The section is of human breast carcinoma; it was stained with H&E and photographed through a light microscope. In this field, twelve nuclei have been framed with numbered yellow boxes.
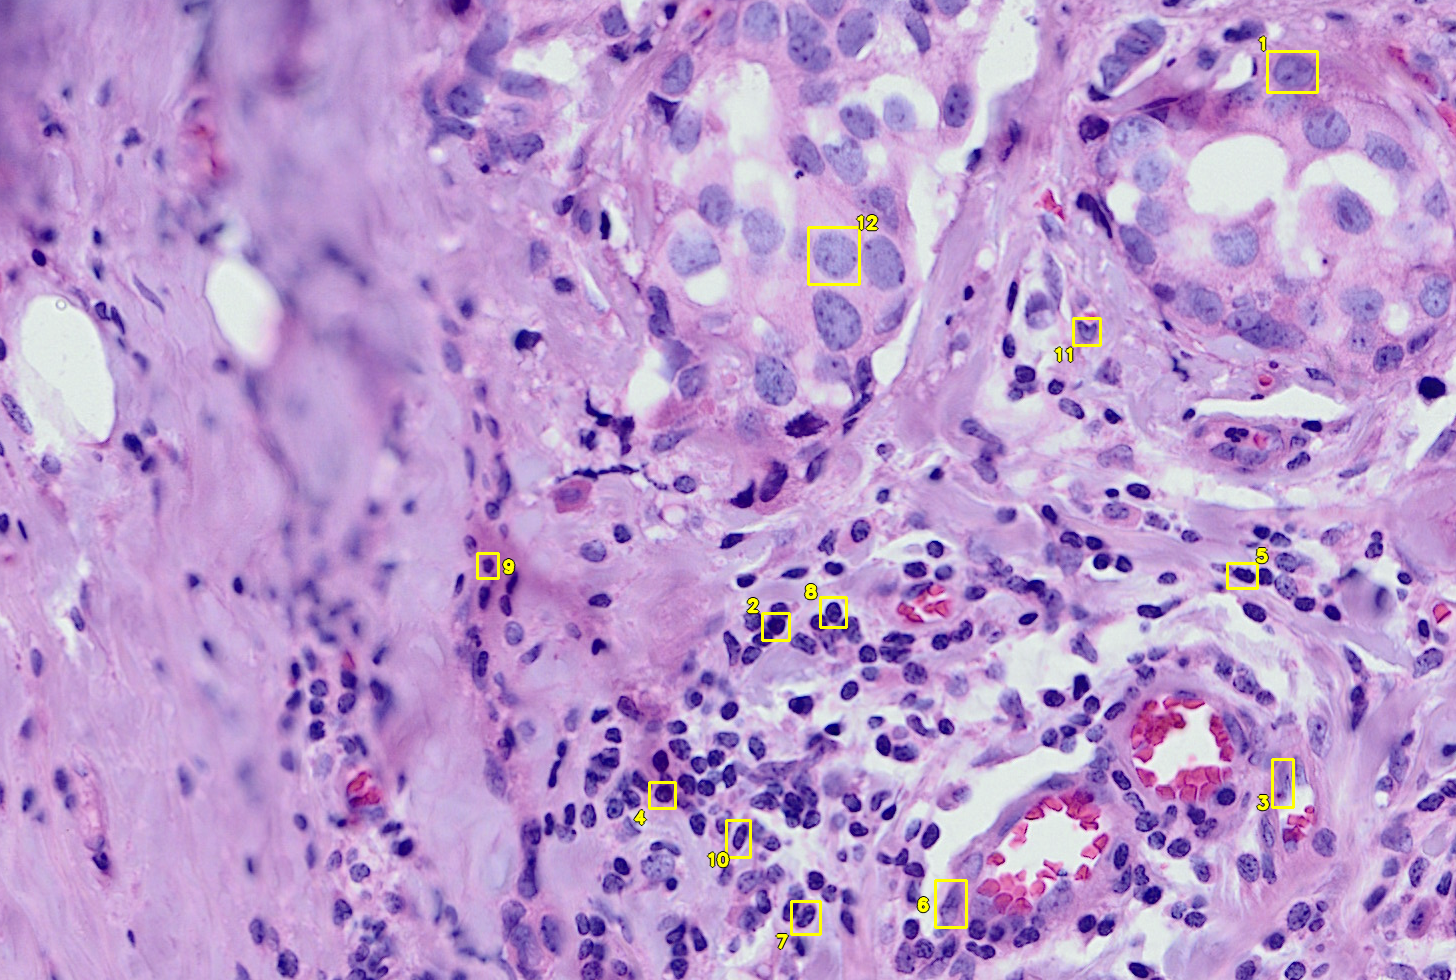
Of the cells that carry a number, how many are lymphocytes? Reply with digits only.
7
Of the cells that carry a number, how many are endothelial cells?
3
